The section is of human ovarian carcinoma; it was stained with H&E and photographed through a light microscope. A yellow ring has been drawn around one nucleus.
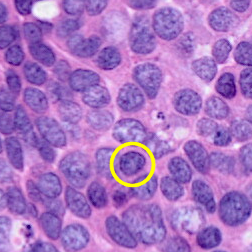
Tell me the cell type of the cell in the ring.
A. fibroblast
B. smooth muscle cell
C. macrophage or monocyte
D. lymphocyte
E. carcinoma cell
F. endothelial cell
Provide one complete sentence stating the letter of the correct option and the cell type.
Option E wins here: the cell in the ring is a carcinoma cell.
